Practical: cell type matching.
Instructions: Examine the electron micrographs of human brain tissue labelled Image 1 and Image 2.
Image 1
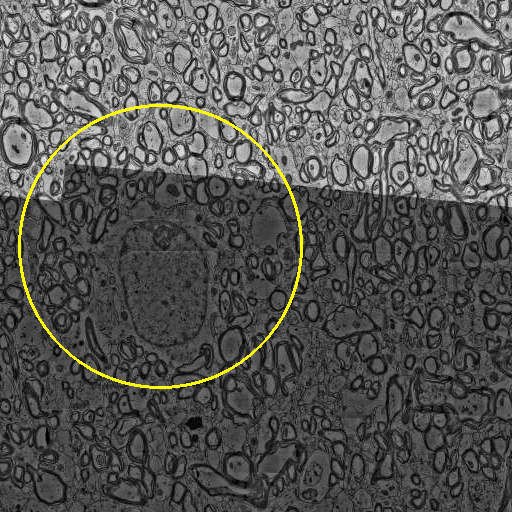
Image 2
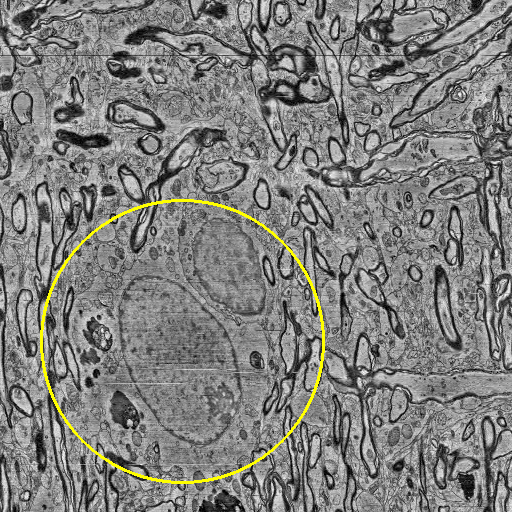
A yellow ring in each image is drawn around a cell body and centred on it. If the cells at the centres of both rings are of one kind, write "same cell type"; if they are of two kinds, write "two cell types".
same cell type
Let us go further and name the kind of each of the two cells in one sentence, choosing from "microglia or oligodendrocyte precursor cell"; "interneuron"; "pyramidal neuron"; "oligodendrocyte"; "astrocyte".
Both the first and the second picture show an astrocyte in the ring.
